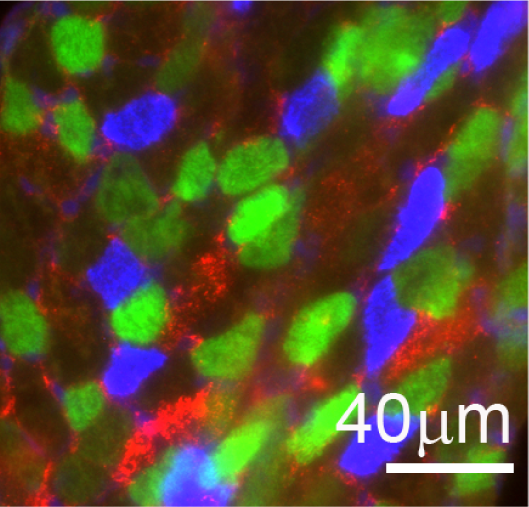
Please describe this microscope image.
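Green-filled fibers predominate, interspersed with blue fibers and a few red, granular fibers. Faint red threads run between fibers.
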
